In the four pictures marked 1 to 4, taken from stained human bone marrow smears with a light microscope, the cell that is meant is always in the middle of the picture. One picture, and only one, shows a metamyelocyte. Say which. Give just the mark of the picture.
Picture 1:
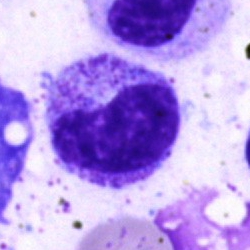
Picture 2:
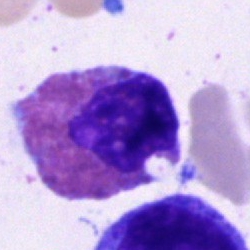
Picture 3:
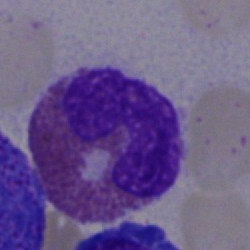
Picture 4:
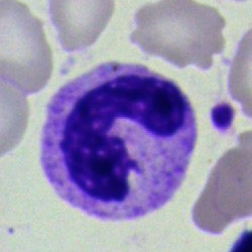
1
